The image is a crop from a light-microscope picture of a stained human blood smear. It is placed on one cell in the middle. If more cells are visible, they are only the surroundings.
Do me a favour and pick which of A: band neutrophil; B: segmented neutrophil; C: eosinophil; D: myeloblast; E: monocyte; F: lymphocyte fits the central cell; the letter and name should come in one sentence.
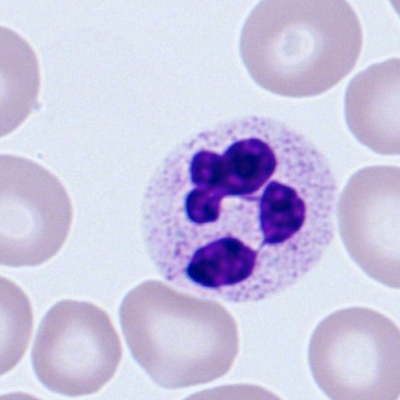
That middle cell is a segmented neutrophil, and option B is therefore correct.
